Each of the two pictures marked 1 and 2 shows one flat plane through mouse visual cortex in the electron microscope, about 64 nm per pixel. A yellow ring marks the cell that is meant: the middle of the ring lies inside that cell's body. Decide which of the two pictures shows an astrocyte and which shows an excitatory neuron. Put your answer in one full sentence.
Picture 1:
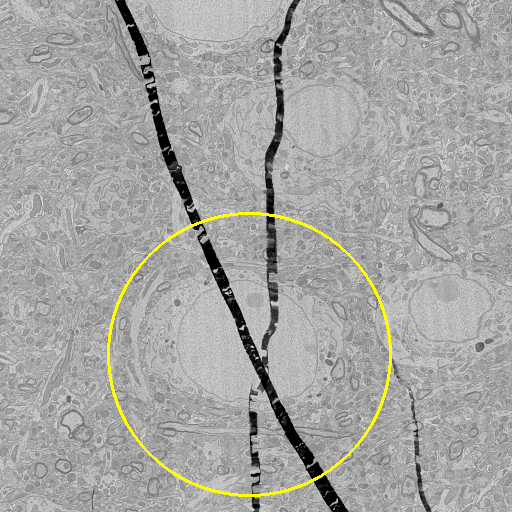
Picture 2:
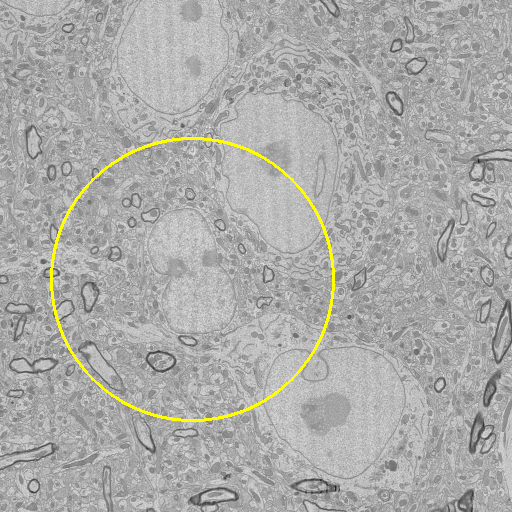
Picture 2 shows an astrocyte, while picture 1 shows an excitatory neuron.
